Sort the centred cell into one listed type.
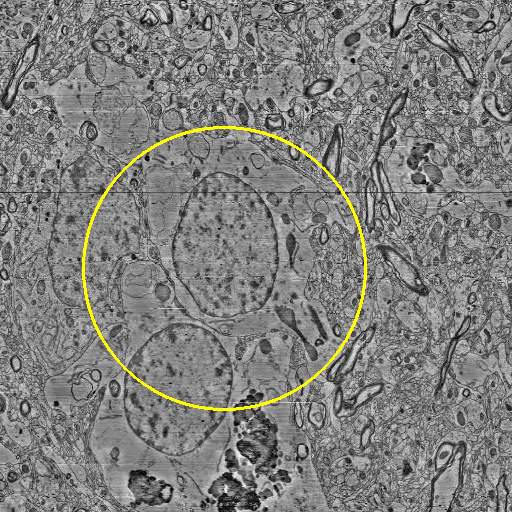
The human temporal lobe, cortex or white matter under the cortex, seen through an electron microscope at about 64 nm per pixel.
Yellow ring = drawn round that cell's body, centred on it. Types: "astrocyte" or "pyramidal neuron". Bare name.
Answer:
astrocyte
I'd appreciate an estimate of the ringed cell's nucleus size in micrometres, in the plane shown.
The nucleus comes to roughly 10 by 7 micrometres in this plane.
